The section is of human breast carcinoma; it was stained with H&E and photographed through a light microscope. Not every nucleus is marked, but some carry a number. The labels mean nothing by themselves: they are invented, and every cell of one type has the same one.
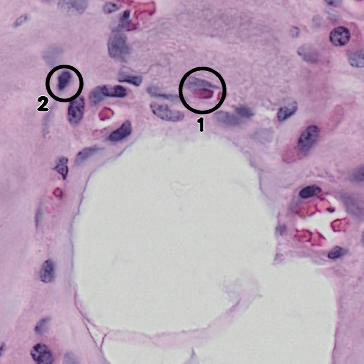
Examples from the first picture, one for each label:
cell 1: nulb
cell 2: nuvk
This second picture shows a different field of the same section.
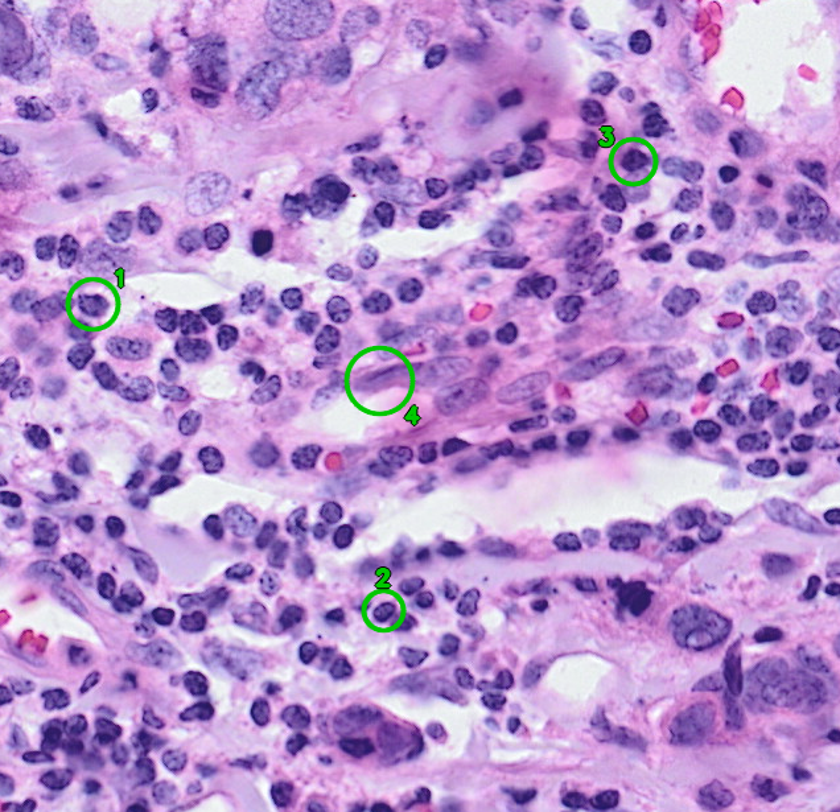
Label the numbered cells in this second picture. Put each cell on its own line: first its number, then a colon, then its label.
1: nuvk
2: nuvk
3: nuvk
4: nulb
